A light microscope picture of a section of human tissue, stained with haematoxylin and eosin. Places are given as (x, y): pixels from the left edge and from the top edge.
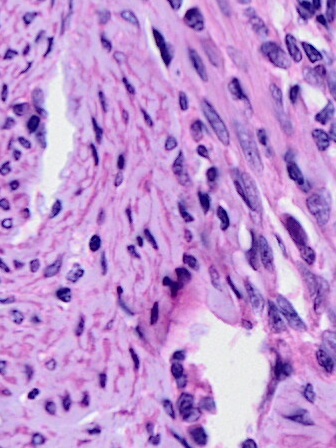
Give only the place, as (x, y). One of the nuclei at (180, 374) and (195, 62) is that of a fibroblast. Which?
(195, 62)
